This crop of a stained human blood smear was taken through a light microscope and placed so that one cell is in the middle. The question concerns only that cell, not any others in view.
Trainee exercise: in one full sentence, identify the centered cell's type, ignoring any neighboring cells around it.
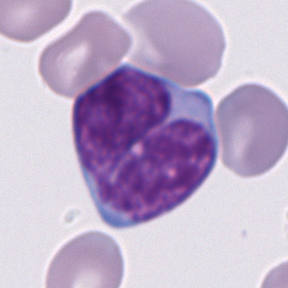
Whatever else lies nearby, the middle cell is a myeloblast.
